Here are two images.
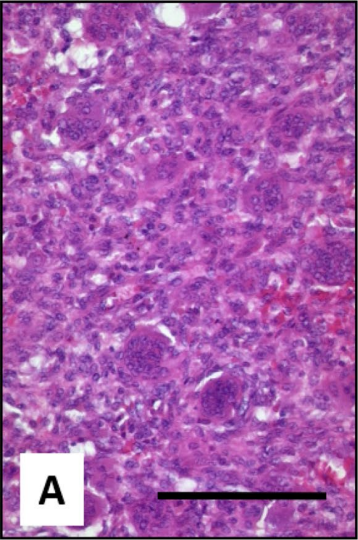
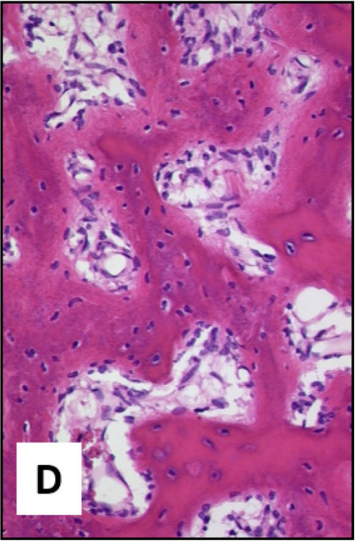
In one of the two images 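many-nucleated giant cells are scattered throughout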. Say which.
The first image.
